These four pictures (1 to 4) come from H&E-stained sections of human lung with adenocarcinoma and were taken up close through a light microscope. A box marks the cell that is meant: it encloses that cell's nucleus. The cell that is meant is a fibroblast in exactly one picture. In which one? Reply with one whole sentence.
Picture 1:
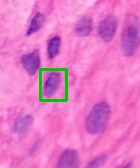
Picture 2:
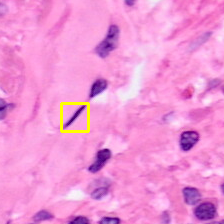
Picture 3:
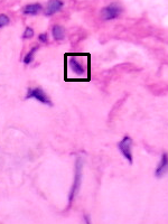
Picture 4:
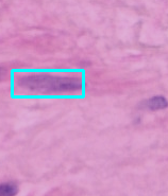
It is picture 2 that shows the fibroblast.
